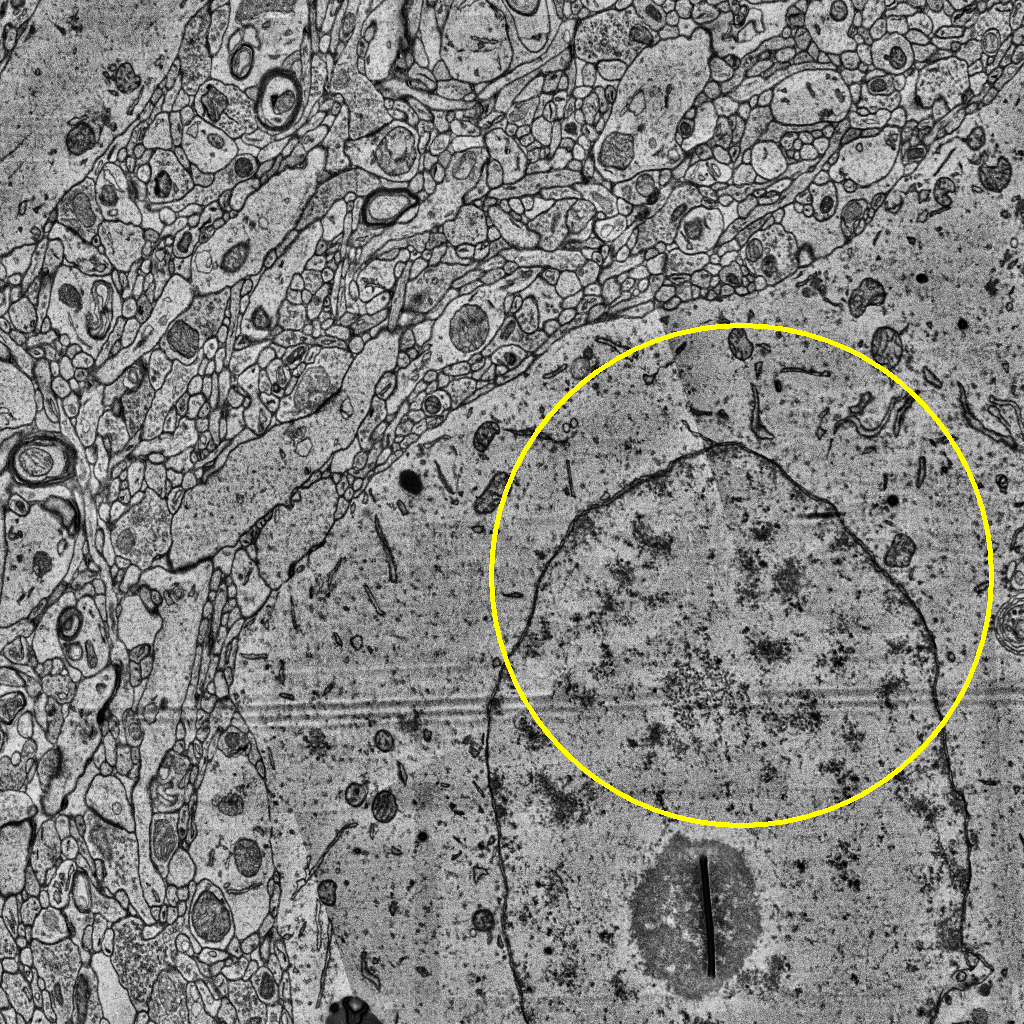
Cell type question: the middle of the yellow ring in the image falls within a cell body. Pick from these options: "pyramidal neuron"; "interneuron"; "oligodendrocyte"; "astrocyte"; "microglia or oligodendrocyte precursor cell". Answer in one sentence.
The cell body at the center of the ring belongs to a pyramidal neuron.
